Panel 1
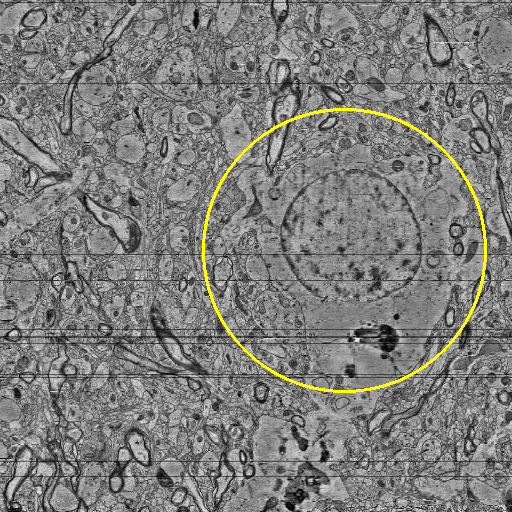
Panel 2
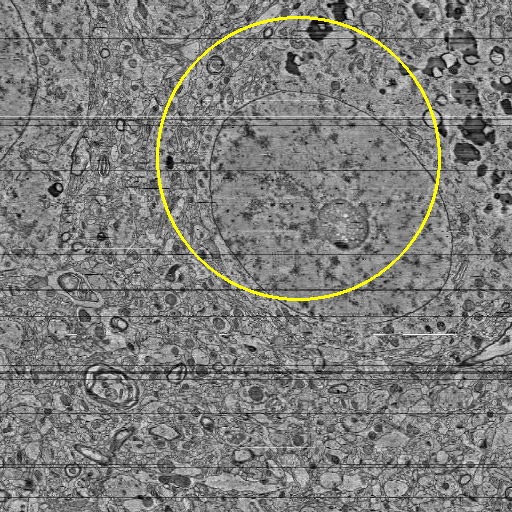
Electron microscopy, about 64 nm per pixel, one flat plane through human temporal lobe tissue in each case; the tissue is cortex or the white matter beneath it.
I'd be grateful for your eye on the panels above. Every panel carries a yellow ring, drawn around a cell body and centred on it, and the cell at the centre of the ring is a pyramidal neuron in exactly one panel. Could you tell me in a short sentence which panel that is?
Panel 2 is the one with it at the centre of the ring.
